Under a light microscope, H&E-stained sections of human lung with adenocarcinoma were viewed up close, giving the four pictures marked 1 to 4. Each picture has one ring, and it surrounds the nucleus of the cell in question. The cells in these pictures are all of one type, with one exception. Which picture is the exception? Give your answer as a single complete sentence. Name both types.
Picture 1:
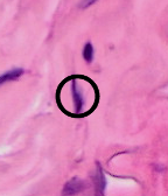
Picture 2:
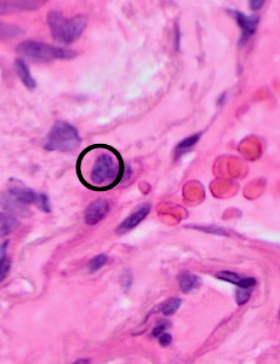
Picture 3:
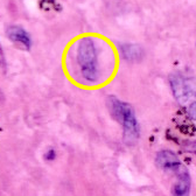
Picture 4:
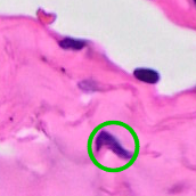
All pictures except 2 show fibroblasts; picture 2 shows a mast cell.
